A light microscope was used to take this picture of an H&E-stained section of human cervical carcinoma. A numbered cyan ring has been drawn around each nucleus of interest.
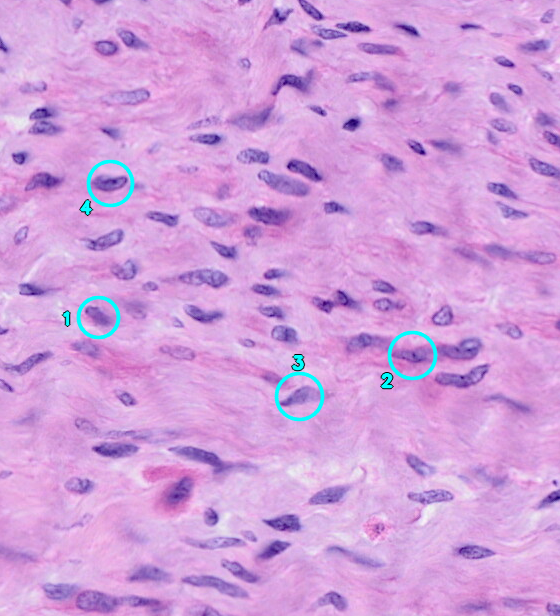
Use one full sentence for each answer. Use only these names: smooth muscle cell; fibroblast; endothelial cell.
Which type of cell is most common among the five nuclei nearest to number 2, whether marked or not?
Of the five nuclei nearest to number 2, most belong to smooth muscle cells.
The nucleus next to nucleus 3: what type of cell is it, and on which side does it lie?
The nearest nucleus is that of a smooth muscle cell and lies above and to the left of nucleus 3.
